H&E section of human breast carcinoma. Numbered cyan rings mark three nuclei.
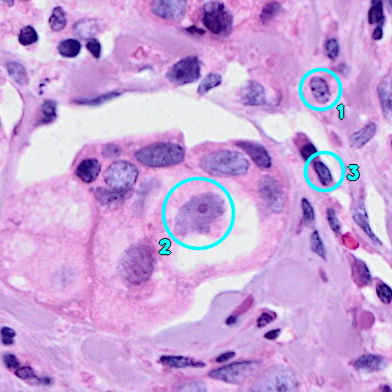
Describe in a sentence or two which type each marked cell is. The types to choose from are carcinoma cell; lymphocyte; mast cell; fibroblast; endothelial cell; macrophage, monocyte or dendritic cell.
Cell 1 is a mast cell. Cell 2 is a carcinoma cell. Cell 3 is a lymphocyte.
